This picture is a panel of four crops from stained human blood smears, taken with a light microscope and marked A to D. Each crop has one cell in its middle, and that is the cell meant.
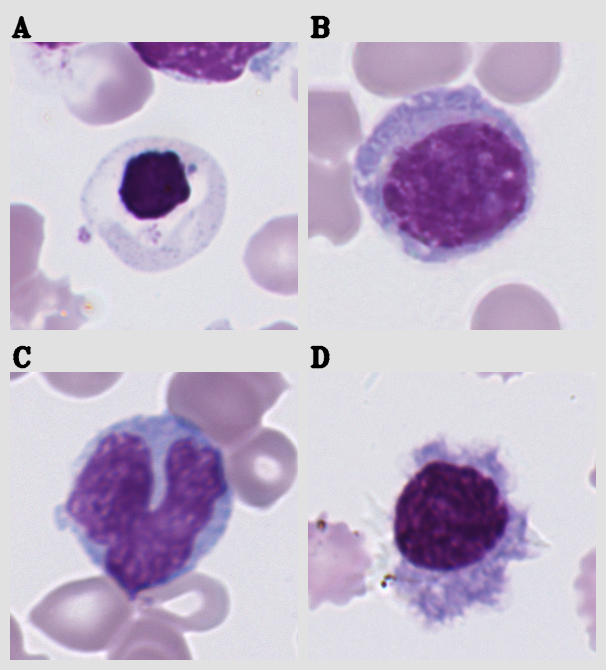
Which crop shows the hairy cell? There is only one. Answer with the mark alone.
D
